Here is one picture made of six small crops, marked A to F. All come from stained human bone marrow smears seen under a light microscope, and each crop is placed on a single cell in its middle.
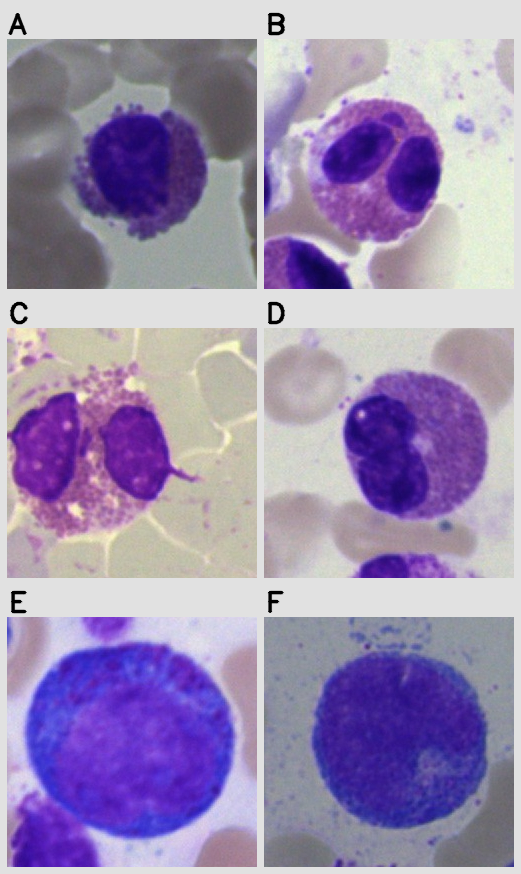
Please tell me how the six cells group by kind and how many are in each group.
eosinophil: 4
promyelocyte: 2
